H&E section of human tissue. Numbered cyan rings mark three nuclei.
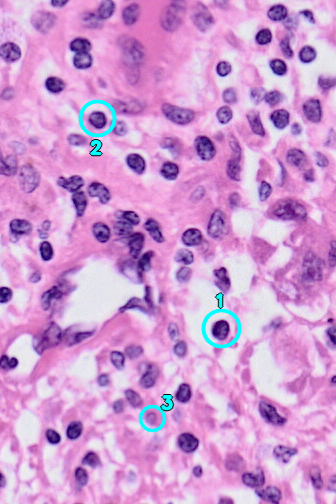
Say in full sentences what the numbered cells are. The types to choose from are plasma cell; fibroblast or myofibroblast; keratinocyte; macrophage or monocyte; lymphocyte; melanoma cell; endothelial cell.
Cells 1 and 2 are lymphocytes. Cell 3 is a macrophage or monocyte.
